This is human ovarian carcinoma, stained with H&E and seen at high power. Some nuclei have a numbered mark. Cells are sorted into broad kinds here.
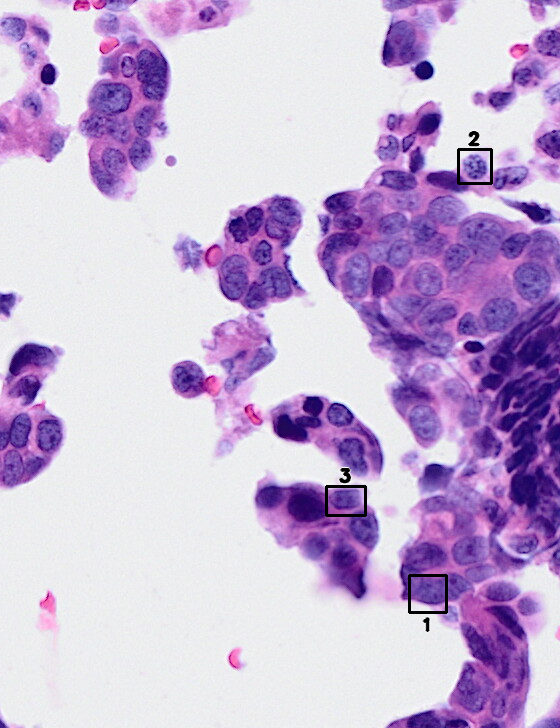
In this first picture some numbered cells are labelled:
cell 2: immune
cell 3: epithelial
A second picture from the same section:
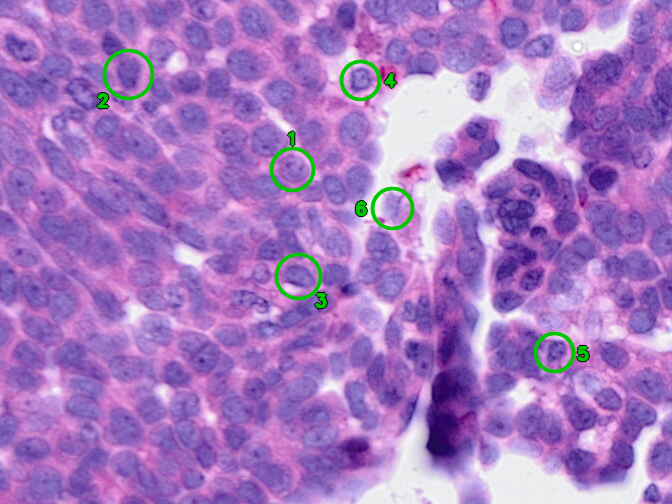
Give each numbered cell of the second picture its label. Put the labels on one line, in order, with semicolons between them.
epithelial; epithelial; epithelial; immune; immune; epithelial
